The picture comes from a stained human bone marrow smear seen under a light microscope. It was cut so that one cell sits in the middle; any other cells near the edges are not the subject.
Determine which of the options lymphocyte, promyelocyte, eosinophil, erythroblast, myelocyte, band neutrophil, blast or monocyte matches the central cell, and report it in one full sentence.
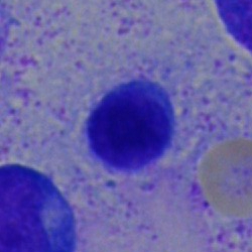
The center cell of this crop is a lymphocyte.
